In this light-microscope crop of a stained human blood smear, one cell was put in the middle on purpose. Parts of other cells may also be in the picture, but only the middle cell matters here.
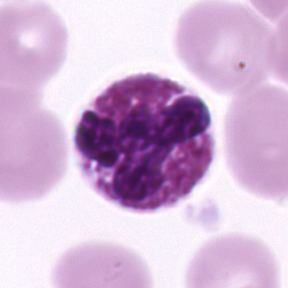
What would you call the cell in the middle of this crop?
eosinophil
